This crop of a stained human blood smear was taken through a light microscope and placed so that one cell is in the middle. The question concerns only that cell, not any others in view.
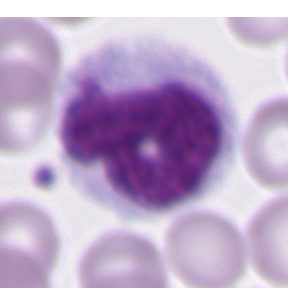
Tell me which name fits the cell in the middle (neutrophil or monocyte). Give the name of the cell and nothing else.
monocyte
